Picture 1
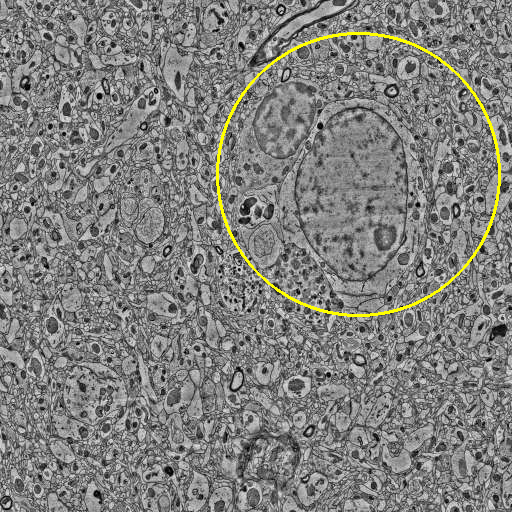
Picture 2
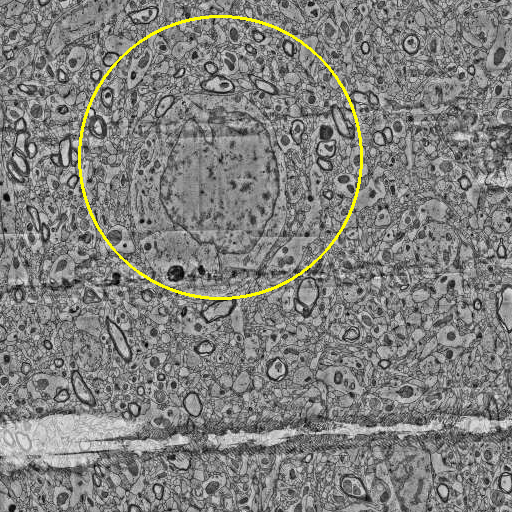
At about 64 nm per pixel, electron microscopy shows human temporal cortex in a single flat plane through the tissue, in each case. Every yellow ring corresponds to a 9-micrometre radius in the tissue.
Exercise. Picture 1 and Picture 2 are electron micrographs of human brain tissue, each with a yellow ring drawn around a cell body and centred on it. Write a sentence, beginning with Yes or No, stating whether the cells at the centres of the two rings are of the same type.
Yes, the cells at the centres of both rings are of the same type.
